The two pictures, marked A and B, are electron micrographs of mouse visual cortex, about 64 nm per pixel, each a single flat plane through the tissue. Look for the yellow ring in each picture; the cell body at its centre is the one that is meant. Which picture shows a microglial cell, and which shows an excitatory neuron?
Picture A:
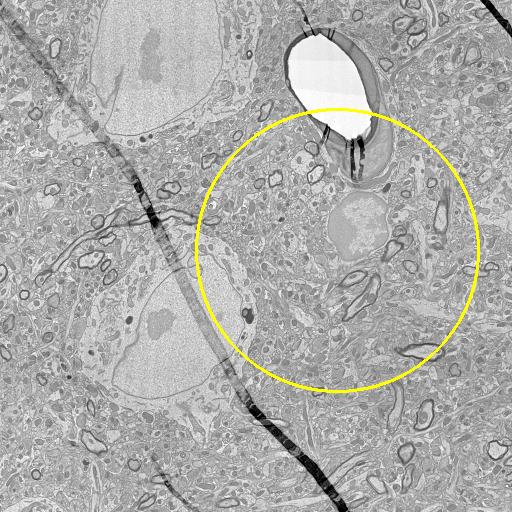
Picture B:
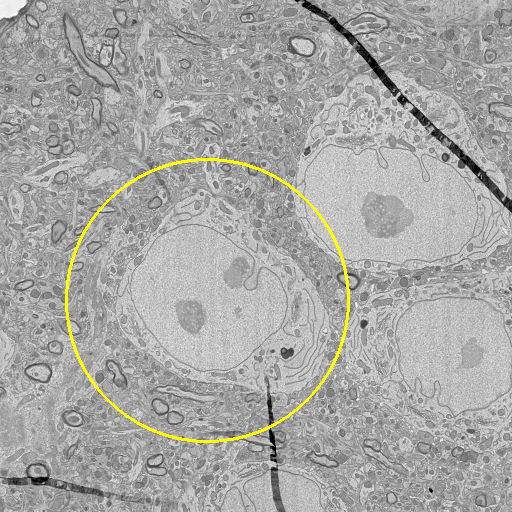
In picture A the cell is a microglial cell; in picture B, an excitatory neuron.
